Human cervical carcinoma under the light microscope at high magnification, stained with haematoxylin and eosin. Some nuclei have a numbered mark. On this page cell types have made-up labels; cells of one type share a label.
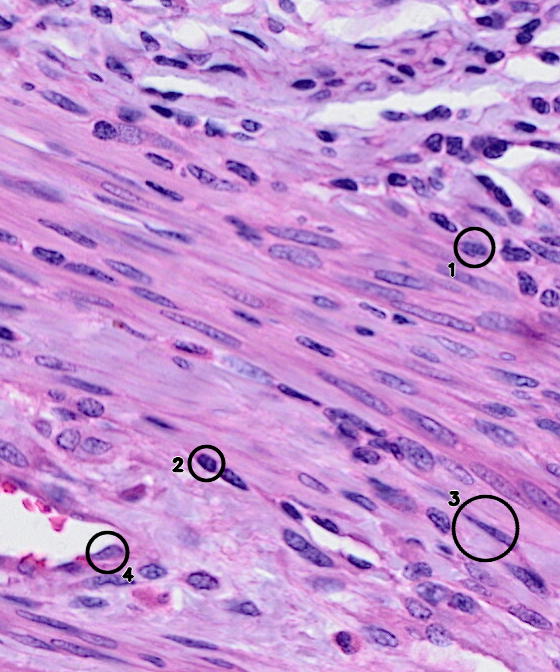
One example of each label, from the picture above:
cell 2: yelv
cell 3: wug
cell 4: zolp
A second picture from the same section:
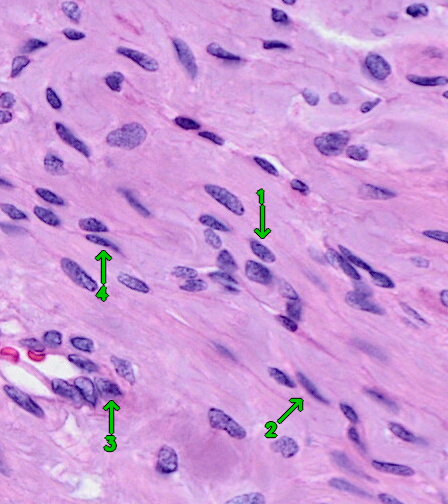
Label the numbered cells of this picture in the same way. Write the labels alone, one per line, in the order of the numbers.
wug
wug
zolp
wug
